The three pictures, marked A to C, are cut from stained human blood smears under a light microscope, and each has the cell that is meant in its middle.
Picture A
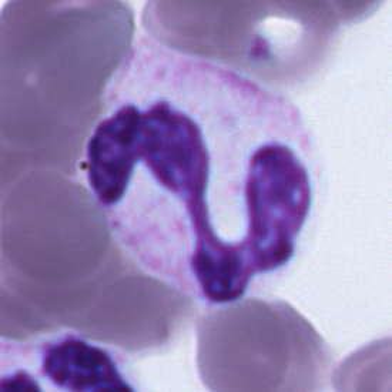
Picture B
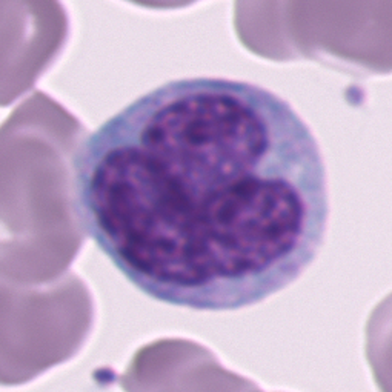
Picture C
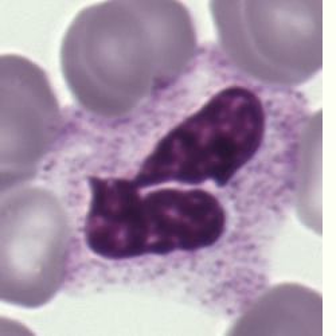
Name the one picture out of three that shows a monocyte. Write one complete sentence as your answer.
The cell in picture B is the monocyte.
